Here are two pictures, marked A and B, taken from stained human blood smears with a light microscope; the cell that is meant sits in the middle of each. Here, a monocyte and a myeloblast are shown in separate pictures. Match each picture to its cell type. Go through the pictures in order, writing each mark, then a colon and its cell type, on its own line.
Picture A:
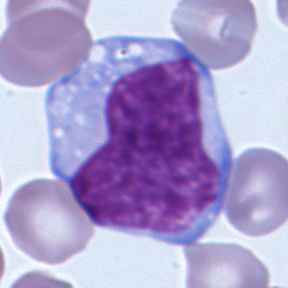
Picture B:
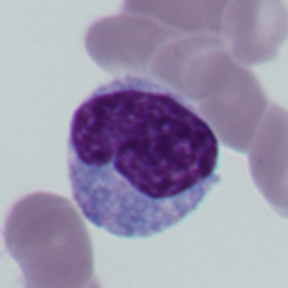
A: myeloblast
B: monocyte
